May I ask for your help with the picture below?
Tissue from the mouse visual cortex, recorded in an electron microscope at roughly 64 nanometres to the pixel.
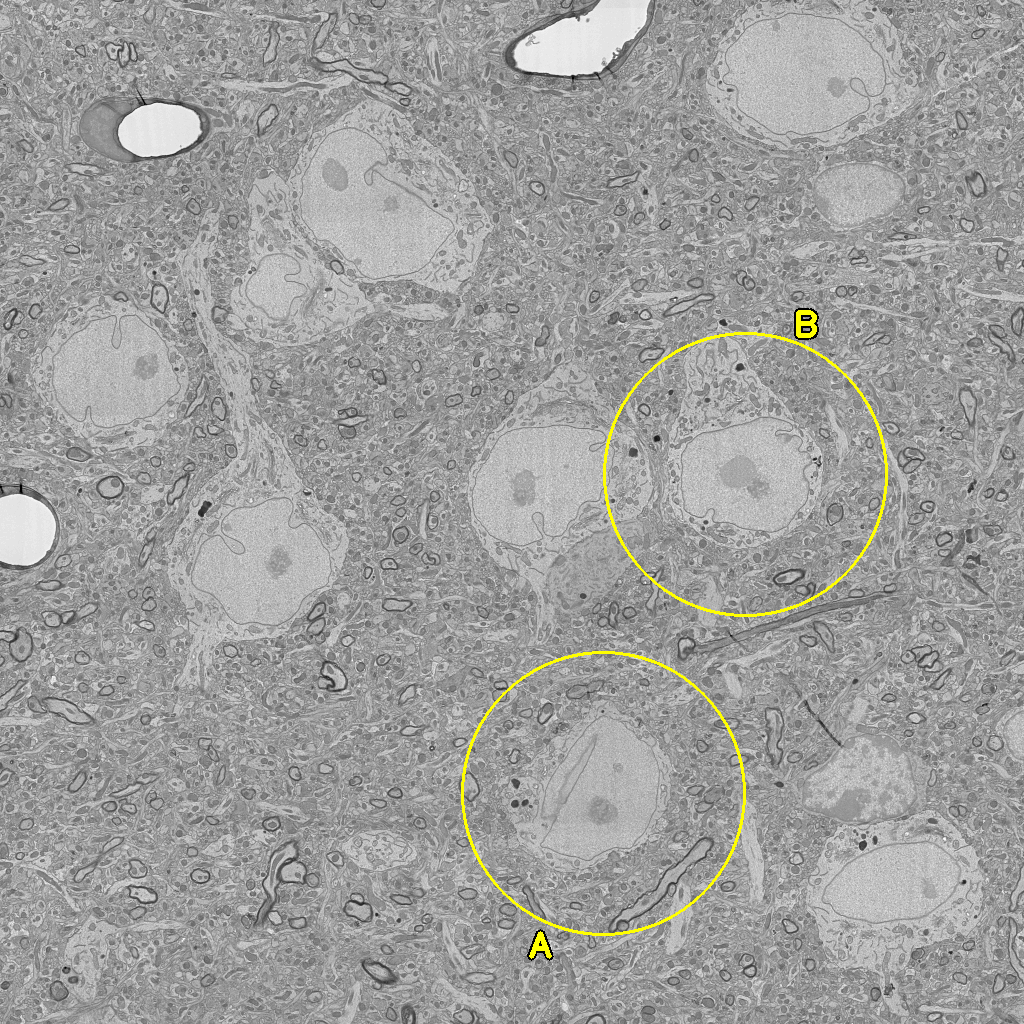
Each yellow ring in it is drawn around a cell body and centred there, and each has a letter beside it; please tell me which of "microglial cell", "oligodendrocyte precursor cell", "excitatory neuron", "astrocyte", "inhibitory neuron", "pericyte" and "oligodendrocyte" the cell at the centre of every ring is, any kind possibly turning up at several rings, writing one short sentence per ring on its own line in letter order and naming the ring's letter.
Ring A is drawn around the cell body of an excitatory neuron.
Ring B is drawn around the cell body of an inhibitory neuron.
